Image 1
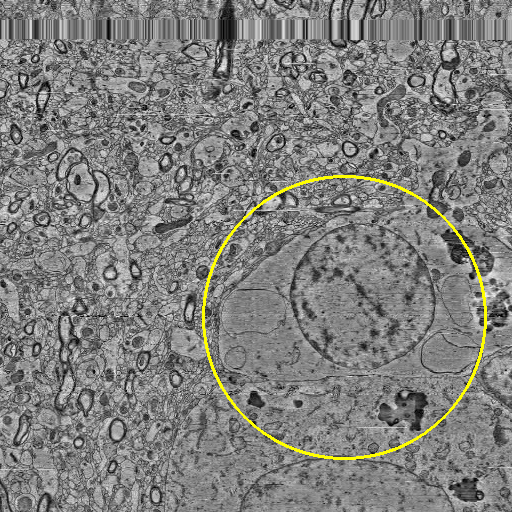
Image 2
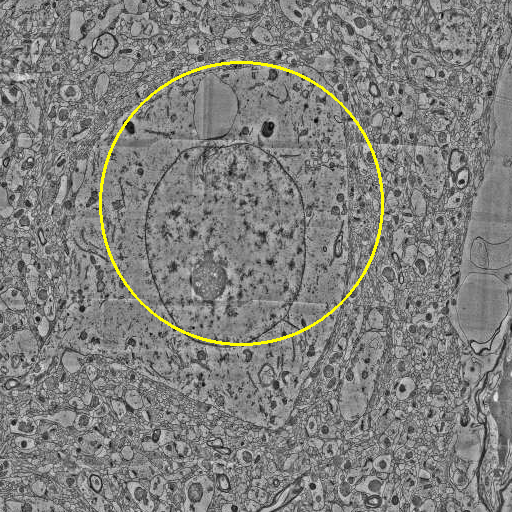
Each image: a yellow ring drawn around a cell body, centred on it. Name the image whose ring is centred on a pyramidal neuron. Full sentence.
That is Image 2.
